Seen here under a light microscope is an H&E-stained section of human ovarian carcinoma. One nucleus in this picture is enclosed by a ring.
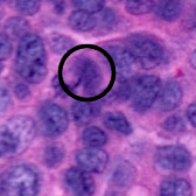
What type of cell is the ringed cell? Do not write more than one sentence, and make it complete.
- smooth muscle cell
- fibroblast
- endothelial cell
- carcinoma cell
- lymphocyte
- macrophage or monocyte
The identity of the ringed cell is that of a carcinoma cell.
